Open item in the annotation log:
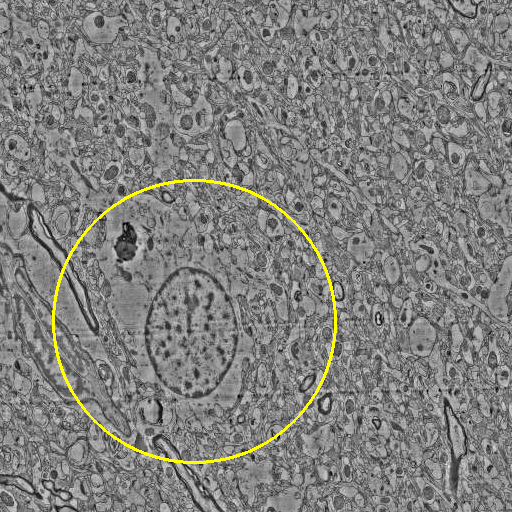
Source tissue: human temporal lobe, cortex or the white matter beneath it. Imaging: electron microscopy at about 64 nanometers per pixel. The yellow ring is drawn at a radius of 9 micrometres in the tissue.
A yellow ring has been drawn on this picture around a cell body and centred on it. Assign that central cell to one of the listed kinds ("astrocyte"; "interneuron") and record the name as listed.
astrocyte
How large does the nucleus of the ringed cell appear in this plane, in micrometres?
In this plane, roughly 8 by 6 micrometres.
